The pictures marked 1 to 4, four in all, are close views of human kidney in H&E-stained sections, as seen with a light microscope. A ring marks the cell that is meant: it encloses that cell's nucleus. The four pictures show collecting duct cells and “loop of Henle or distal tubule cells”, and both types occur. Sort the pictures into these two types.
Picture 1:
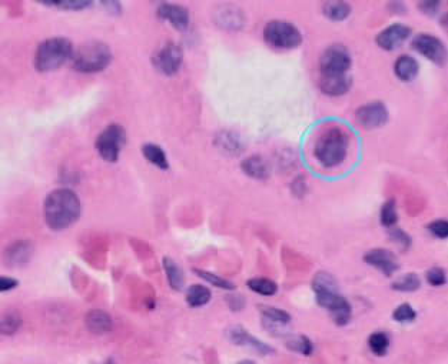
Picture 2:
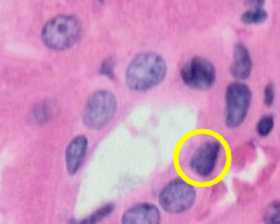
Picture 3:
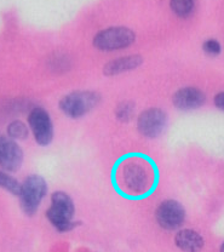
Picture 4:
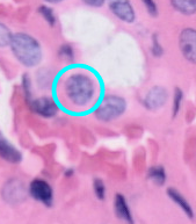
1: loop of Henle or distal tubule cell
2: collecting duct cell
3: loop of Henle or distal tubule cell
4: collecting duct cell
